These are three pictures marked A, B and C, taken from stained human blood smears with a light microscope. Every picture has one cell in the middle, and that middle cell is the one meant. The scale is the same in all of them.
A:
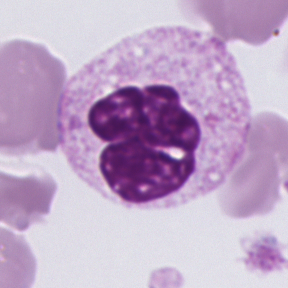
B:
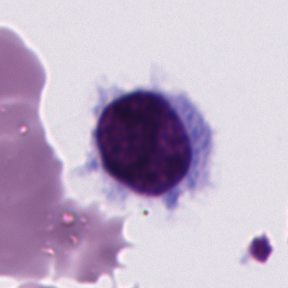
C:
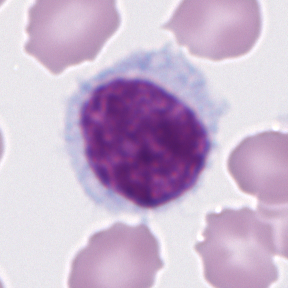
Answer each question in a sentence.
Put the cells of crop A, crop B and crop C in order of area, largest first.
Largest first: A, C, B.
